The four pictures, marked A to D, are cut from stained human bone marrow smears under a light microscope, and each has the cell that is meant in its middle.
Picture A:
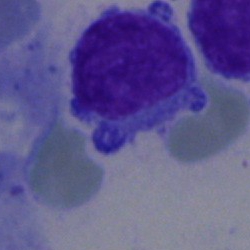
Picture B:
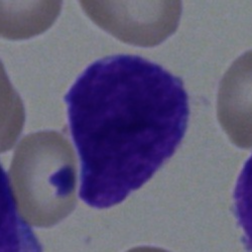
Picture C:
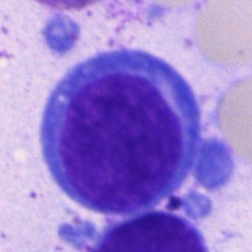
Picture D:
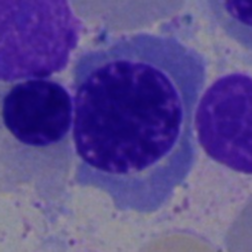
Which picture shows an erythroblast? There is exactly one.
D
